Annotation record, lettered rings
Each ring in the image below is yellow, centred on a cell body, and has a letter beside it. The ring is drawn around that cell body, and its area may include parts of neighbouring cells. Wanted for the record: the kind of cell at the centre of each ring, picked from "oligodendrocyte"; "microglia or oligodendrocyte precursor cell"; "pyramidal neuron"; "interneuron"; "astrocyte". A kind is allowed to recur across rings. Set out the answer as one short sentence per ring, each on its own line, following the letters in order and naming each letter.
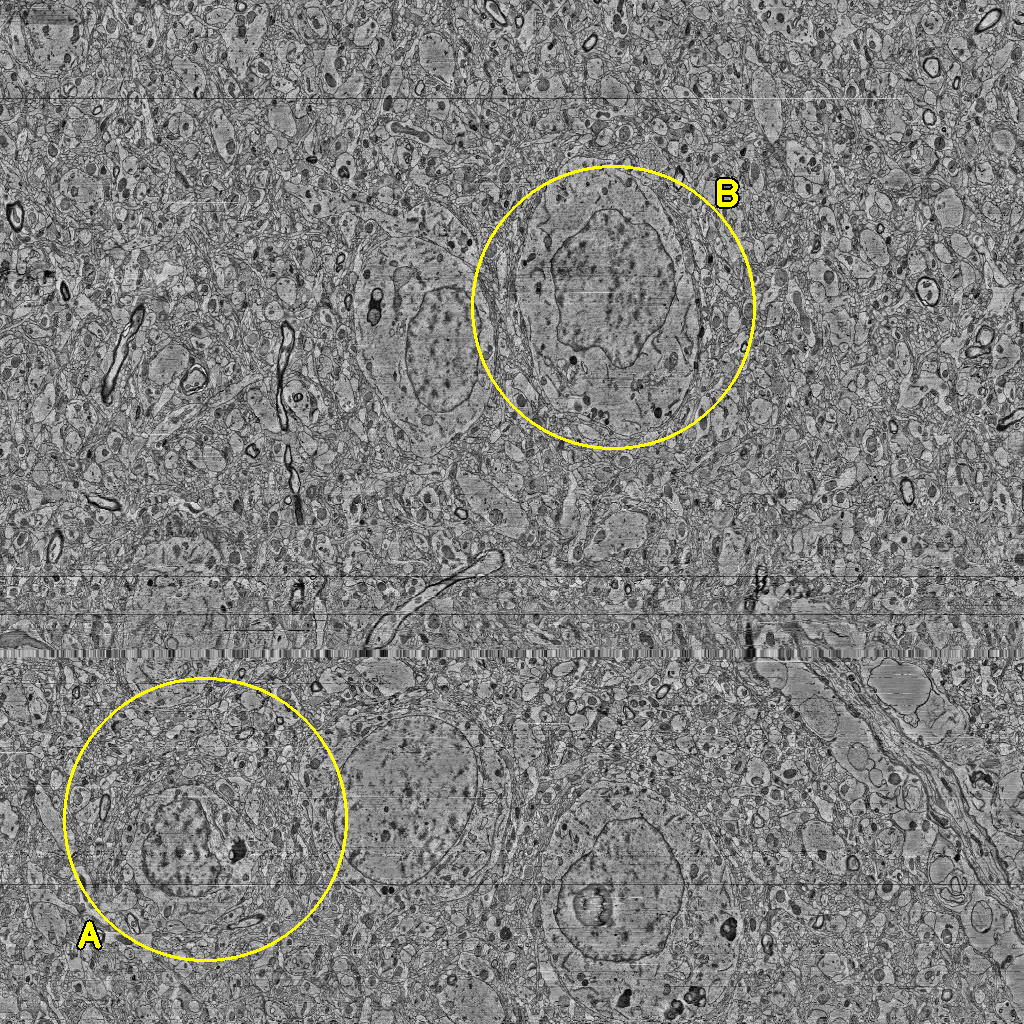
Ring A was drawn on an interneuron.
Ring B was drawn on a pyramidal neuron.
